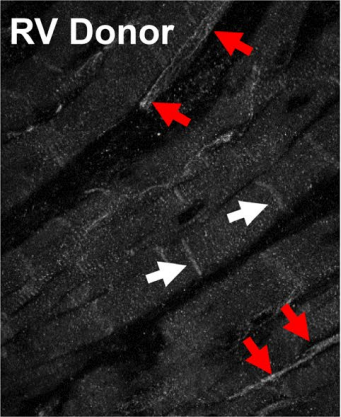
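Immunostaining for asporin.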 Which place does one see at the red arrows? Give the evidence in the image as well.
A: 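The red arrows point to bright lines running along the sides of the fibres. The lines lie in the gaps between neighbouring parallel fibres. On this evidence: extracellular domains.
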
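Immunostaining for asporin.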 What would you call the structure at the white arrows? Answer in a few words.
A: Intercalated disc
